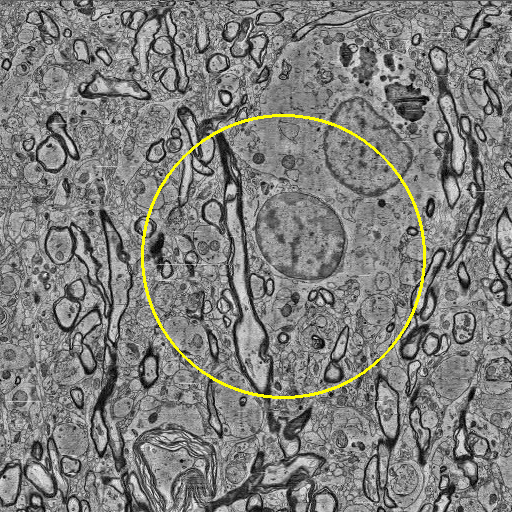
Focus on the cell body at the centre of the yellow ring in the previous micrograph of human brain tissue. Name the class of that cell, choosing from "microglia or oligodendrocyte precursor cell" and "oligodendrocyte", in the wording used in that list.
microglia or oligodendrocyte precursor cell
